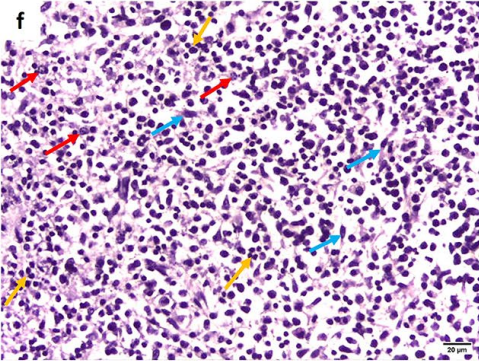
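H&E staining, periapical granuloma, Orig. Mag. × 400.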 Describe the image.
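The field is crowded with cells in a pale pink, loosely textured background, with no epithelium and no orderly layering. Most cells are small and round with dense, dark purple nuclei, an inflammatory cell infiltrate. Scattered among them are cells with elongated, spindle-shaped nuclei lying in the stroma, which are fibroblasts. Some oval cells show a round nucleus set off to one side with a rim of pink-purple cytoplasm, the look of plasma cells. The density of round cells throughout the field marks this as heavily inflamed granulation-type tissue.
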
